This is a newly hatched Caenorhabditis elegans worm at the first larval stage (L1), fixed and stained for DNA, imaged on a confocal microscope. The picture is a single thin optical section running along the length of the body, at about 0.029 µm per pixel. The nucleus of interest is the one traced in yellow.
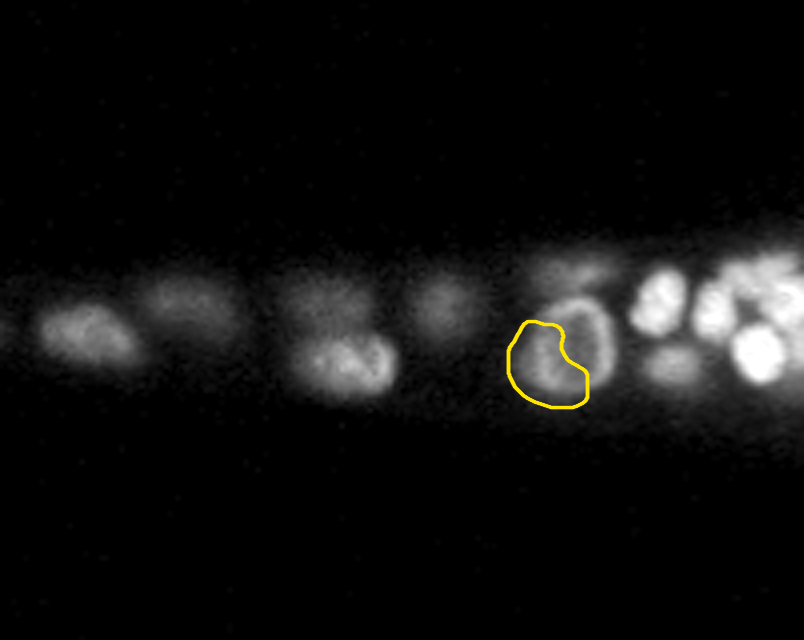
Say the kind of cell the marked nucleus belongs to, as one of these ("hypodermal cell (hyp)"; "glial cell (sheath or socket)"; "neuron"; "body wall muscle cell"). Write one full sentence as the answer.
What is marked is the nucleus of a neuron.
